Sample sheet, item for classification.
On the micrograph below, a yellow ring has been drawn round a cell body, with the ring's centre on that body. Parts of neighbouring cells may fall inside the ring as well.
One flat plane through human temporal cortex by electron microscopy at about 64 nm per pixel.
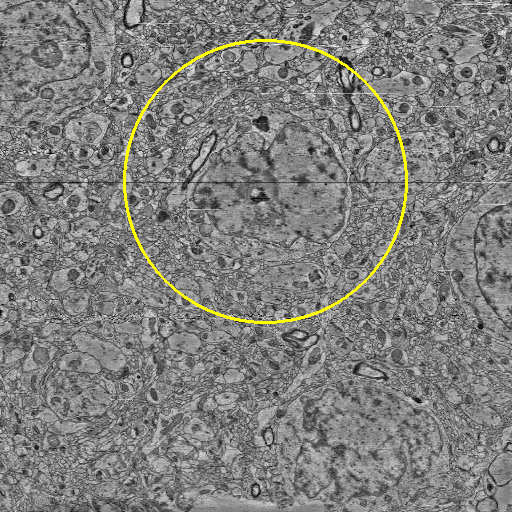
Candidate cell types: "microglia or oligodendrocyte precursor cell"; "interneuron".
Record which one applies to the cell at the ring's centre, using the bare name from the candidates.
interneuron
